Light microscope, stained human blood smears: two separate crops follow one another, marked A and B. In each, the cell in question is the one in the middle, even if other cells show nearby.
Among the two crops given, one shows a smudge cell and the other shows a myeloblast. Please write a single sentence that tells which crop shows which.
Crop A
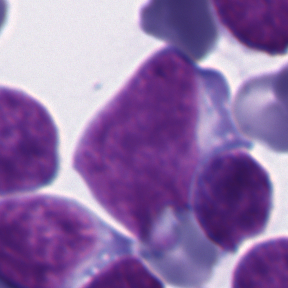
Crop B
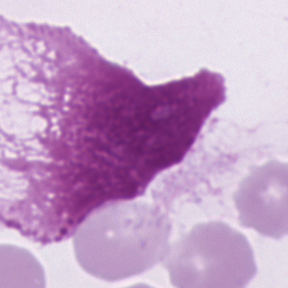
Crop A is labelled a myeloblast, and crop B is labelled a smudge cell.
